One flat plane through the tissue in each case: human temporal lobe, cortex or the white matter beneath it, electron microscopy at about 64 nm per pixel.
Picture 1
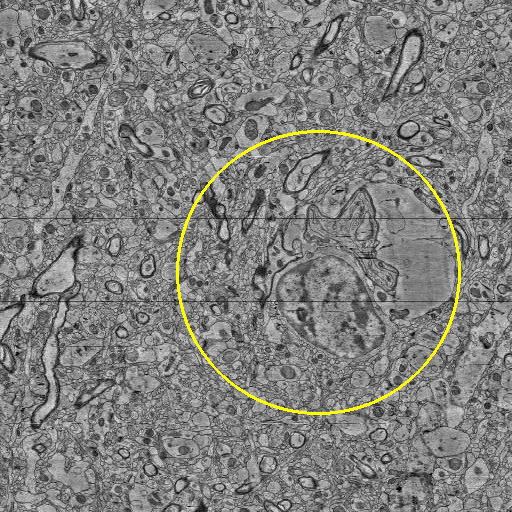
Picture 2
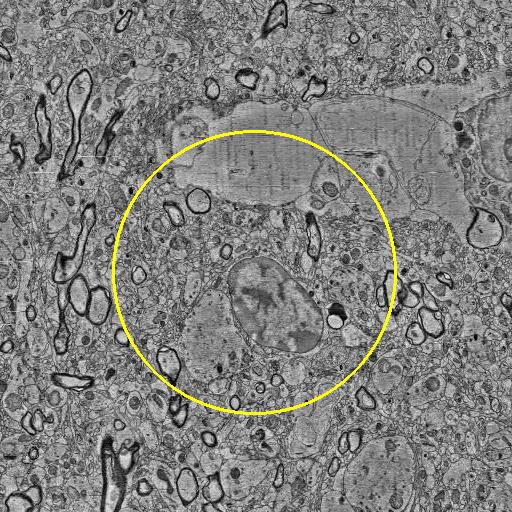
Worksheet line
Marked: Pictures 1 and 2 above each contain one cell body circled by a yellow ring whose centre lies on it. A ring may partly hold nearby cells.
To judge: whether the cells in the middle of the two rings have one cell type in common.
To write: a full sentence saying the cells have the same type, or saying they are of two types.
The cells in the middle of the rings in Picture 1 and Picture 2 are of two types.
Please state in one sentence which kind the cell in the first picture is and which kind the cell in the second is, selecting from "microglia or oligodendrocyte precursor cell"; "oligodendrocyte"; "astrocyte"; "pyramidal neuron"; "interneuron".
The first ringed cell is an oligodendrocyte, the second ringed cell a microglial cell or oligodendrocyte precursor cell.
